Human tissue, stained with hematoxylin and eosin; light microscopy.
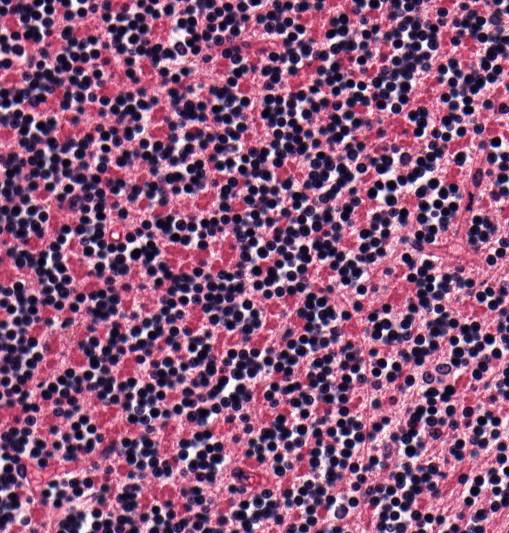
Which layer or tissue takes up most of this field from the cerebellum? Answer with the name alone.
granular layer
